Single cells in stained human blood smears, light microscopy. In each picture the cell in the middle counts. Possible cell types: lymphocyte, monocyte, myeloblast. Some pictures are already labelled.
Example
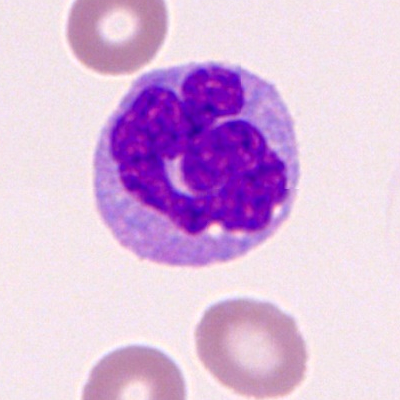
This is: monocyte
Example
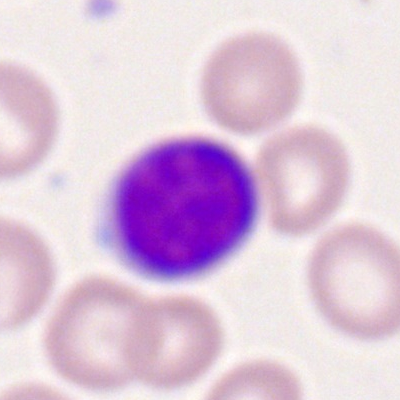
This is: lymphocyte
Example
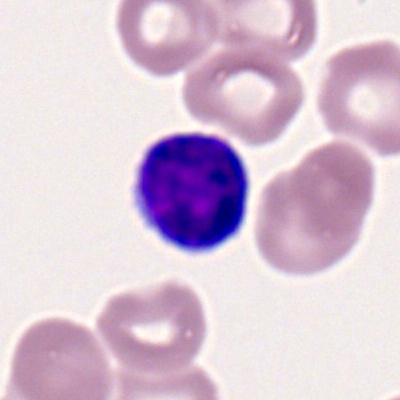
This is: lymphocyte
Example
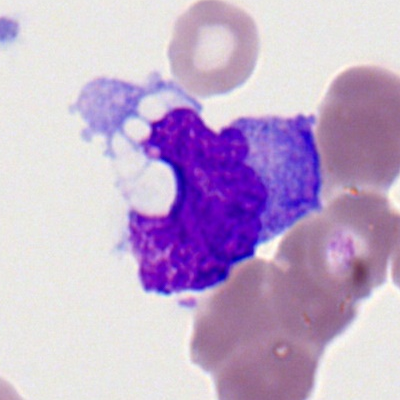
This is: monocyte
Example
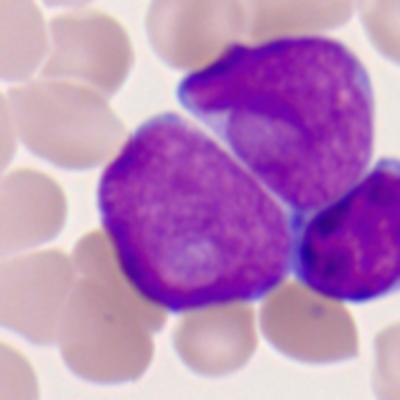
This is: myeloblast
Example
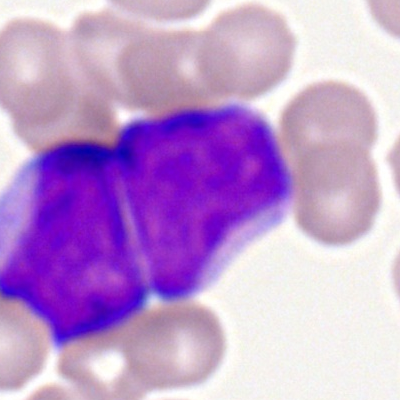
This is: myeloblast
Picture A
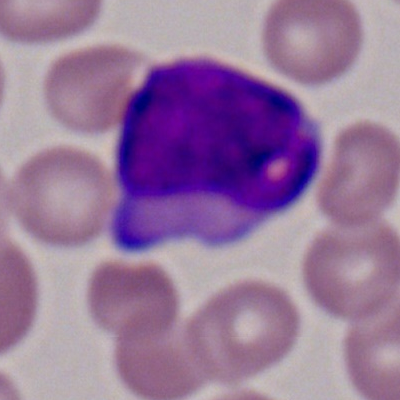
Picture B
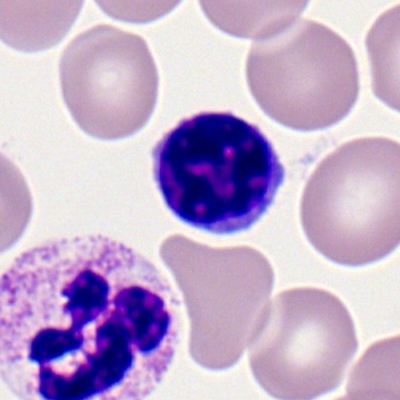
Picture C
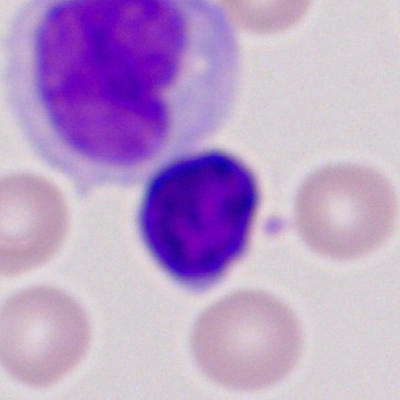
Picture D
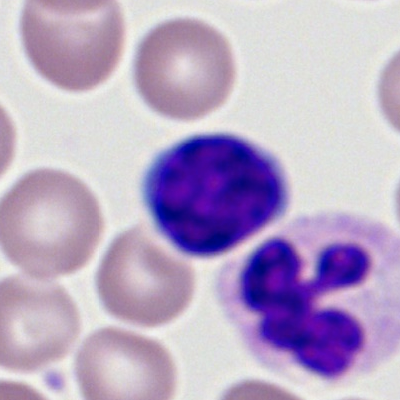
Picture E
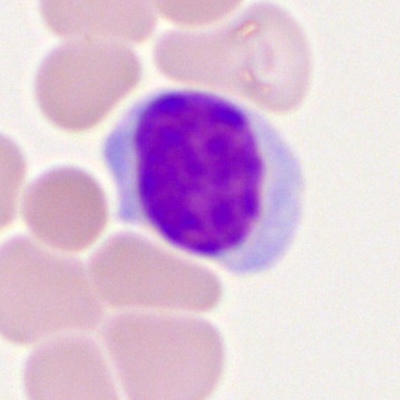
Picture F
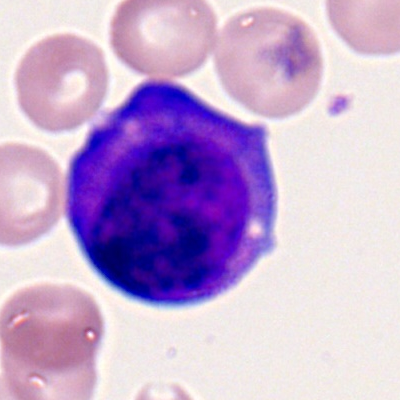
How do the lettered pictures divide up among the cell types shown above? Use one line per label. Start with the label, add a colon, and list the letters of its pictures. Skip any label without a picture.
lymphocyte: B, C, D, E
myeloblast: A, F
